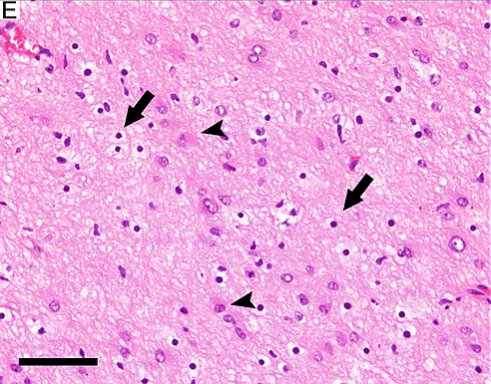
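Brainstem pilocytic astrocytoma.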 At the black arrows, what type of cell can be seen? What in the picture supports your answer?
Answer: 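Oligodendrocytes. The arrows point to small round dark nuclei. These nuclei are surrounded by clear perinuclear halos.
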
